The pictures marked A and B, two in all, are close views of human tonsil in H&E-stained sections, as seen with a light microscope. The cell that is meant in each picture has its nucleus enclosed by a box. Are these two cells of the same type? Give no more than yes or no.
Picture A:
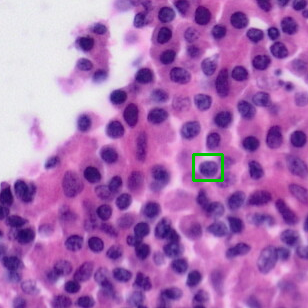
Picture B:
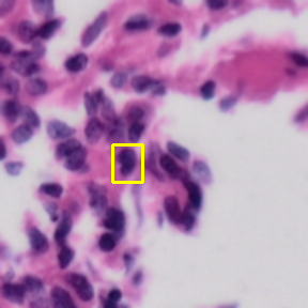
no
